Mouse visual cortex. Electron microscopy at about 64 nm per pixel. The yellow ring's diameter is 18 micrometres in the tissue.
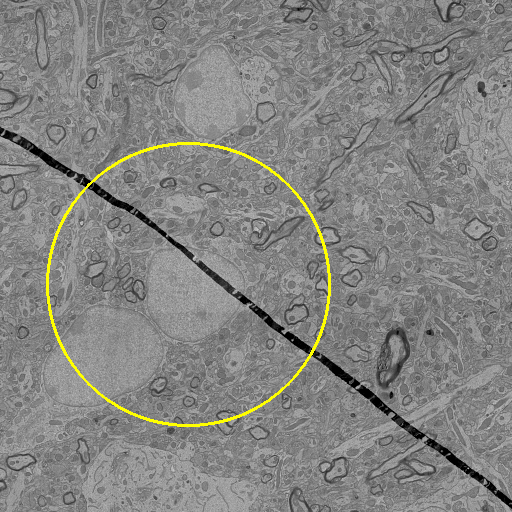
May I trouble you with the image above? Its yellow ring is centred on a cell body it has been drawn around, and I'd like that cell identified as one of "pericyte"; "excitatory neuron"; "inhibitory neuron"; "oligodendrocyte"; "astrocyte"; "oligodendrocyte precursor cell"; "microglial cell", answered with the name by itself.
astrocyte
